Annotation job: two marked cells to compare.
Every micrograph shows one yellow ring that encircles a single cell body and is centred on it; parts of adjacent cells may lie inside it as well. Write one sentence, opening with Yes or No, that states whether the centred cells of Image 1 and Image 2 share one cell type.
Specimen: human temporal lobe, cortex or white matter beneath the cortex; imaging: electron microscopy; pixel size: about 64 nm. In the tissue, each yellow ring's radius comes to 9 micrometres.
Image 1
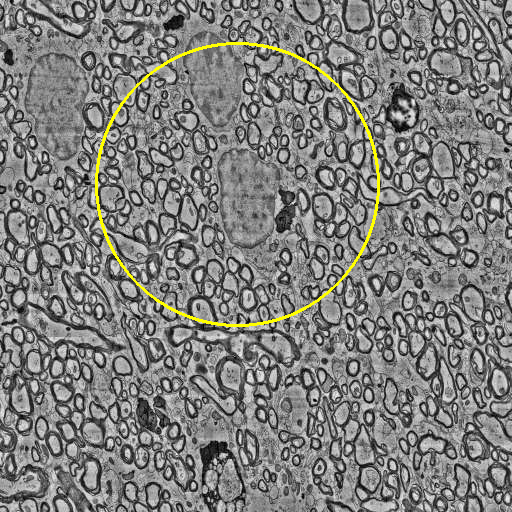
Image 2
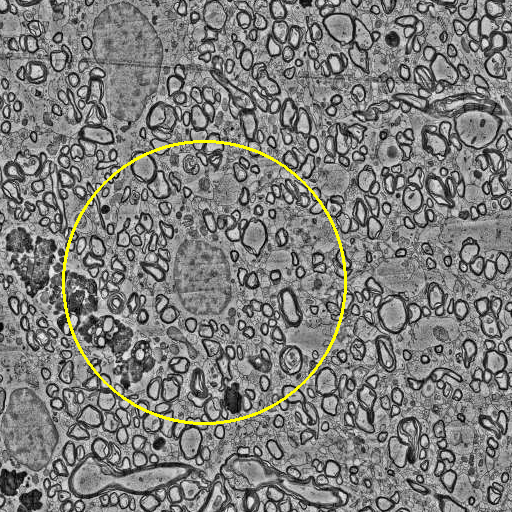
Yes, the cell centred in Image 1 shares its type with the cell centred in Image 2.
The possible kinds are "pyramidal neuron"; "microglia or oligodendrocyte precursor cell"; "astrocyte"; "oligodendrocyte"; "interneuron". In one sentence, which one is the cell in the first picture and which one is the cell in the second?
The second cell is an oligodendrocyte, just as the first is.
